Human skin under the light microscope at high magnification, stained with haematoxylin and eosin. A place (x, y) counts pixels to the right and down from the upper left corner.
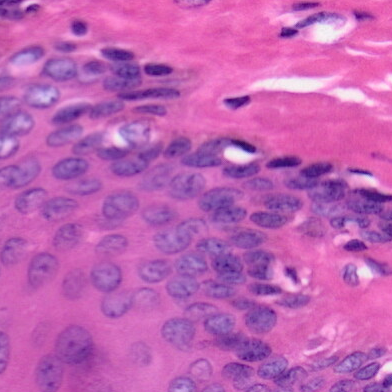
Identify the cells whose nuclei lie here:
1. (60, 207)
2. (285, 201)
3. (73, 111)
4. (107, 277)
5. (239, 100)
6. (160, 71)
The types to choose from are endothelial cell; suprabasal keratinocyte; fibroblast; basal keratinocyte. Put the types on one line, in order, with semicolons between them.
suprabasal keratinocyte; basal keratinocyte; basal keratinocyte; suprabasal keratinocyte; fibroblast; basal keratinocyte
